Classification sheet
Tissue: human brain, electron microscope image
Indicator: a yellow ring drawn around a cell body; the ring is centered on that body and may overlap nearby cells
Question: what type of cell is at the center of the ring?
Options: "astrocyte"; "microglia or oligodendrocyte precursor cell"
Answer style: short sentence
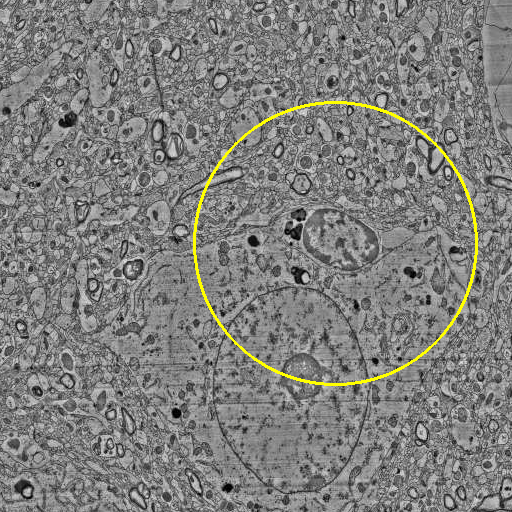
At the ring's center is a microglial cell or oligodendrocyte precursor cell.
